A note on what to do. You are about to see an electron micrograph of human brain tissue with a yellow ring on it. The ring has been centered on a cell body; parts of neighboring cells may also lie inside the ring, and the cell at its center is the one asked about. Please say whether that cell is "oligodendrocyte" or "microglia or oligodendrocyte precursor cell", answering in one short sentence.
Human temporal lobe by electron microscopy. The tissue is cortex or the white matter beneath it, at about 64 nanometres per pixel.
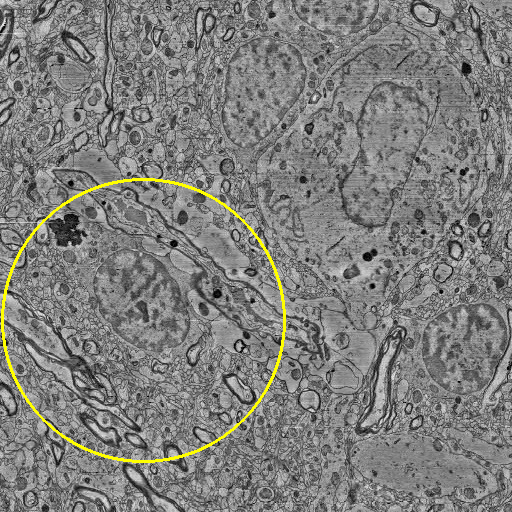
The yellow ring sits on an oligodendrocyte.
